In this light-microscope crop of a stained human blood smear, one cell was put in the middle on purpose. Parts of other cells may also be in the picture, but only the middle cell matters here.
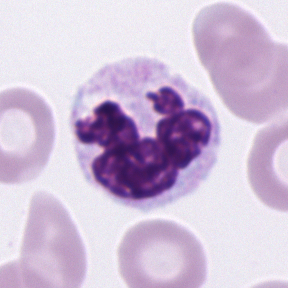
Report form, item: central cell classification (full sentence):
The cell at the middle of the frame should be recorded as a segmented neutrophil.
